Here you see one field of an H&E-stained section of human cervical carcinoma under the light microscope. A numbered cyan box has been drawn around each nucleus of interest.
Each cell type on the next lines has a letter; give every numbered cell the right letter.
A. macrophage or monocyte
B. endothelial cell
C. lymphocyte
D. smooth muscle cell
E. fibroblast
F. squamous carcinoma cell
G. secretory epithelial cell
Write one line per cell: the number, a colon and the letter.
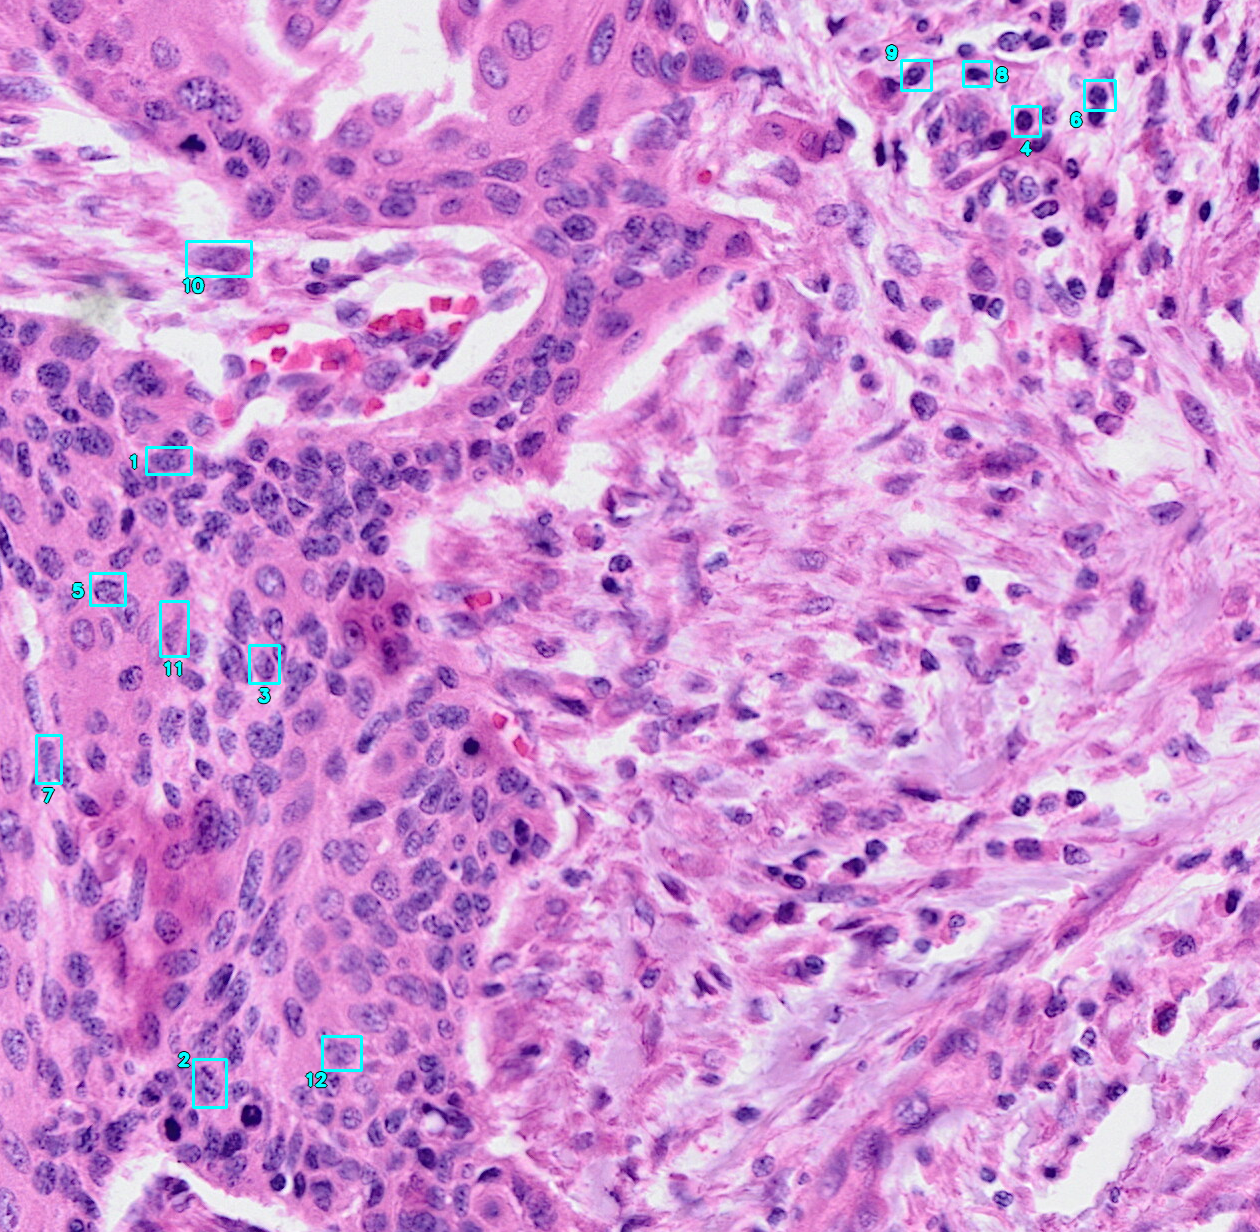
1: F
2: F
3: F
4: C
5: F
6: C
7: F
8: C
9: C
10: E
11: F
12: F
